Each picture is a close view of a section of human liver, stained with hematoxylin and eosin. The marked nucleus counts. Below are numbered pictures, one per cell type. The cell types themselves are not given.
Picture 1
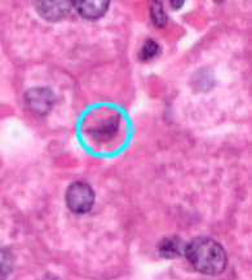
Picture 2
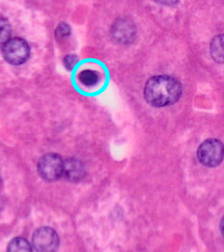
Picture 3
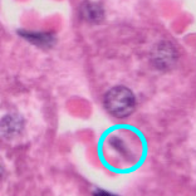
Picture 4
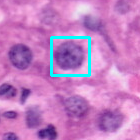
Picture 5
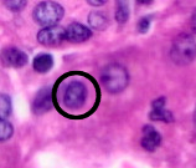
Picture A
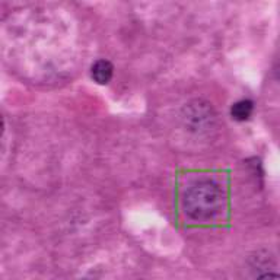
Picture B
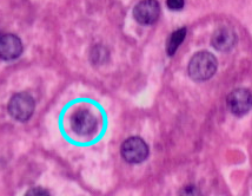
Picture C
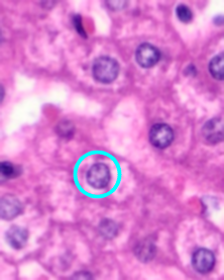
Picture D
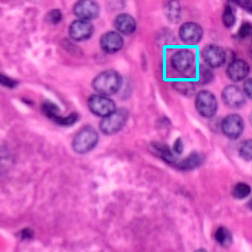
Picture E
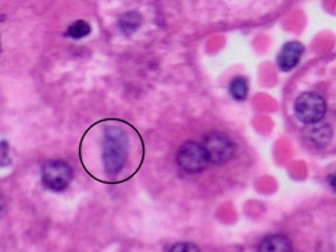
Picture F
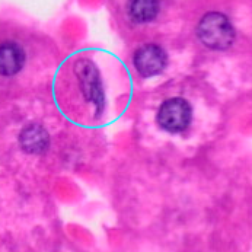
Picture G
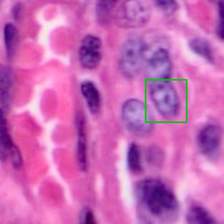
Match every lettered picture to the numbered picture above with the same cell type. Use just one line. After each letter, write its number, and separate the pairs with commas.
A 4, B 4, C 4, D 5, E 3, F 3, G 5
